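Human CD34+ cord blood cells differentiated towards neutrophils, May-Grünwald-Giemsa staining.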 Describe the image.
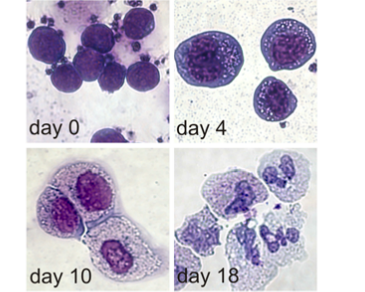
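The earliest cells are small and round with dark purple nuclei filling most of the cell and scant deep blue cytoplasm. Later cells are larger with round to oval nuclei of coarser chromatin and more pale cytoplasm, then indented nuclei. In the last image several cells show lobed, segmented nuclei in pale, finely granular cytoplasm.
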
